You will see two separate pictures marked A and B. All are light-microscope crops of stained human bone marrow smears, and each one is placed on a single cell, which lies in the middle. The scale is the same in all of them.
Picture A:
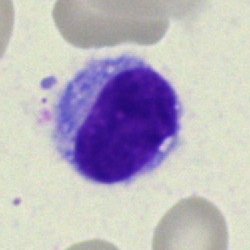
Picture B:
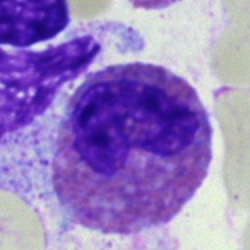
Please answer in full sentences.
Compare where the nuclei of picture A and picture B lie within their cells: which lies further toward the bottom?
Seen within its cell, the nucleus in picture A lies further toward the bottom.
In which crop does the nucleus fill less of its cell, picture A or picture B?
It is the cell in picture B that is filled less by its nucleus.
